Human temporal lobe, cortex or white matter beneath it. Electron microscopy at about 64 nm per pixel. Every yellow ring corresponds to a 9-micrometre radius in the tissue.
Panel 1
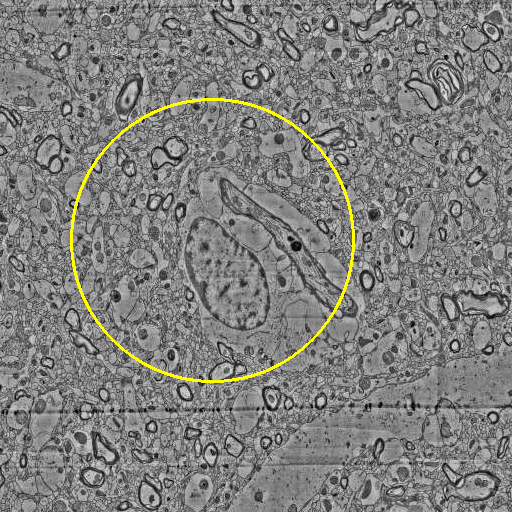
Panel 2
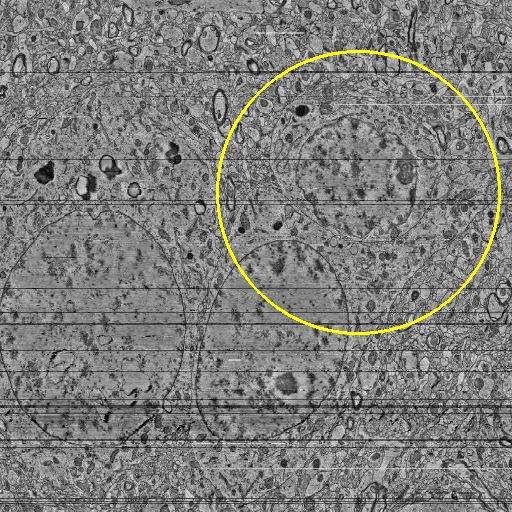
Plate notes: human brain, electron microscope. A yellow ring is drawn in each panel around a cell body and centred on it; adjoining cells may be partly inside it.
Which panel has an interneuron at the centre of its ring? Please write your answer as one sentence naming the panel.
The ring in Panel 2 is centred on such a cell.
